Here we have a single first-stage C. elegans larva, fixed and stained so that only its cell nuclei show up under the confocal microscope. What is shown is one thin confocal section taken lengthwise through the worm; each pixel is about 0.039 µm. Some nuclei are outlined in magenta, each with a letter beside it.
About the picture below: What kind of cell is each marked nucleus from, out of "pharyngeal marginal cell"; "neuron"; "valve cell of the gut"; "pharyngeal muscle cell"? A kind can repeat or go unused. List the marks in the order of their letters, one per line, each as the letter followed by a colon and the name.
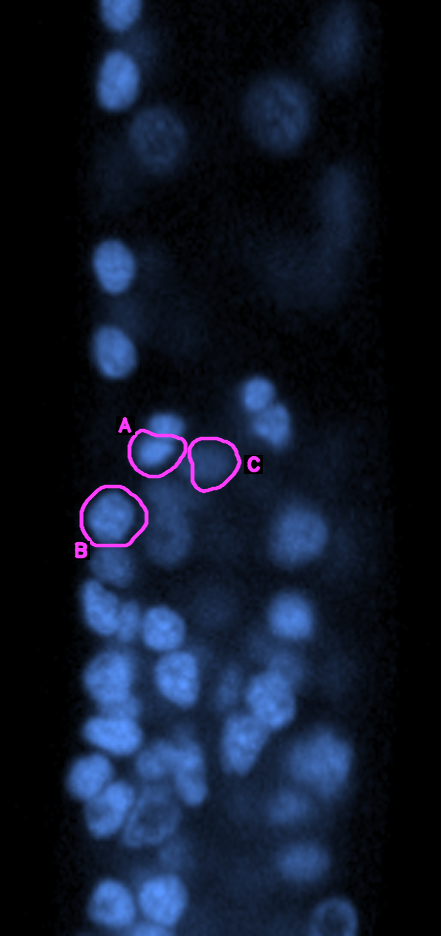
A: valve cell of the gut
B: neuron
C: pharyngeal muscle cell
